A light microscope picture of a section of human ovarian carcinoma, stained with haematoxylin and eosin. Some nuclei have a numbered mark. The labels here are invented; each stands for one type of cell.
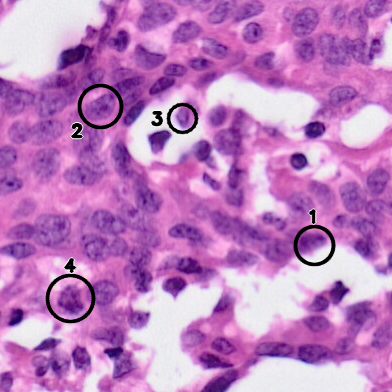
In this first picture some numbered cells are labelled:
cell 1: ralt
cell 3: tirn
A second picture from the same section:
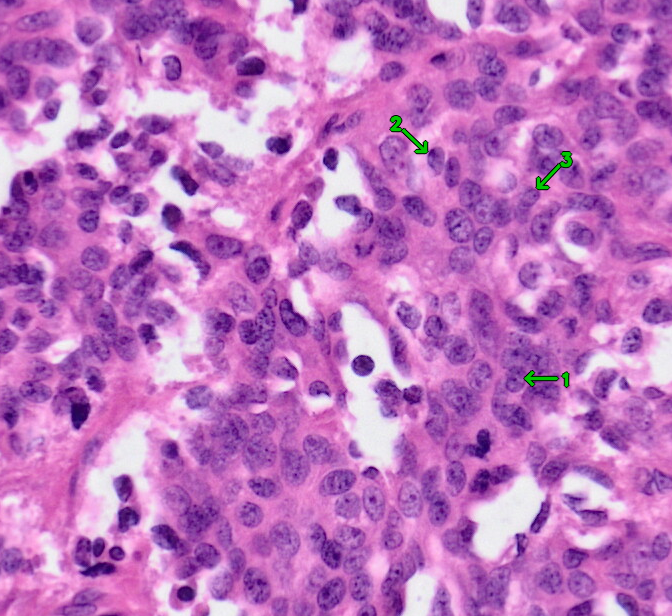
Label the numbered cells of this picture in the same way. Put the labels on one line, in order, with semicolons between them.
ralt; tirn; tirn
